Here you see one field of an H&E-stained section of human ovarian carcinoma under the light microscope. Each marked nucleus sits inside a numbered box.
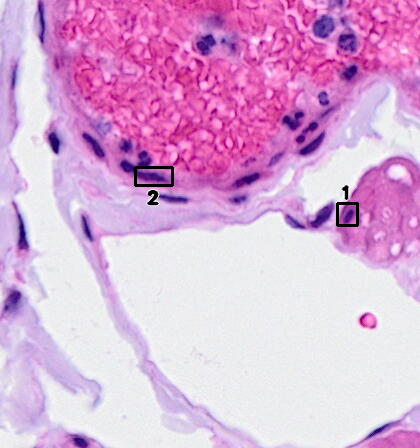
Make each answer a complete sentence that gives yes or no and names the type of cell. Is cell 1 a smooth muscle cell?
Yes, it is a smooth muscle cell that carries the number 1.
